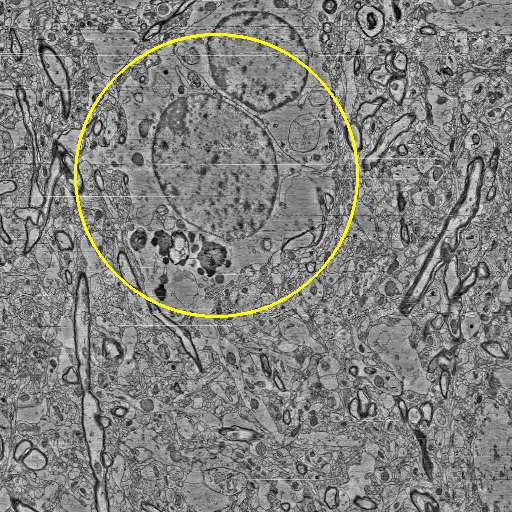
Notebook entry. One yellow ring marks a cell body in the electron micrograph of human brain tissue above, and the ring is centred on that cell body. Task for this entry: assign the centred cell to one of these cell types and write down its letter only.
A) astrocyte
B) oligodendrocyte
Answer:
A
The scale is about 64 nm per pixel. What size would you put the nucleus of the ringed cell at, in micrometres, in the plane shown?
The nucleus measures about 10 by 8 micrometres in this plane.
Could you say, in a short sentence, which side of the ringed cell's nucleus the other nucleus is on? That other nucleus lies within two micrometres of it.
The second nucleus sits above it.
